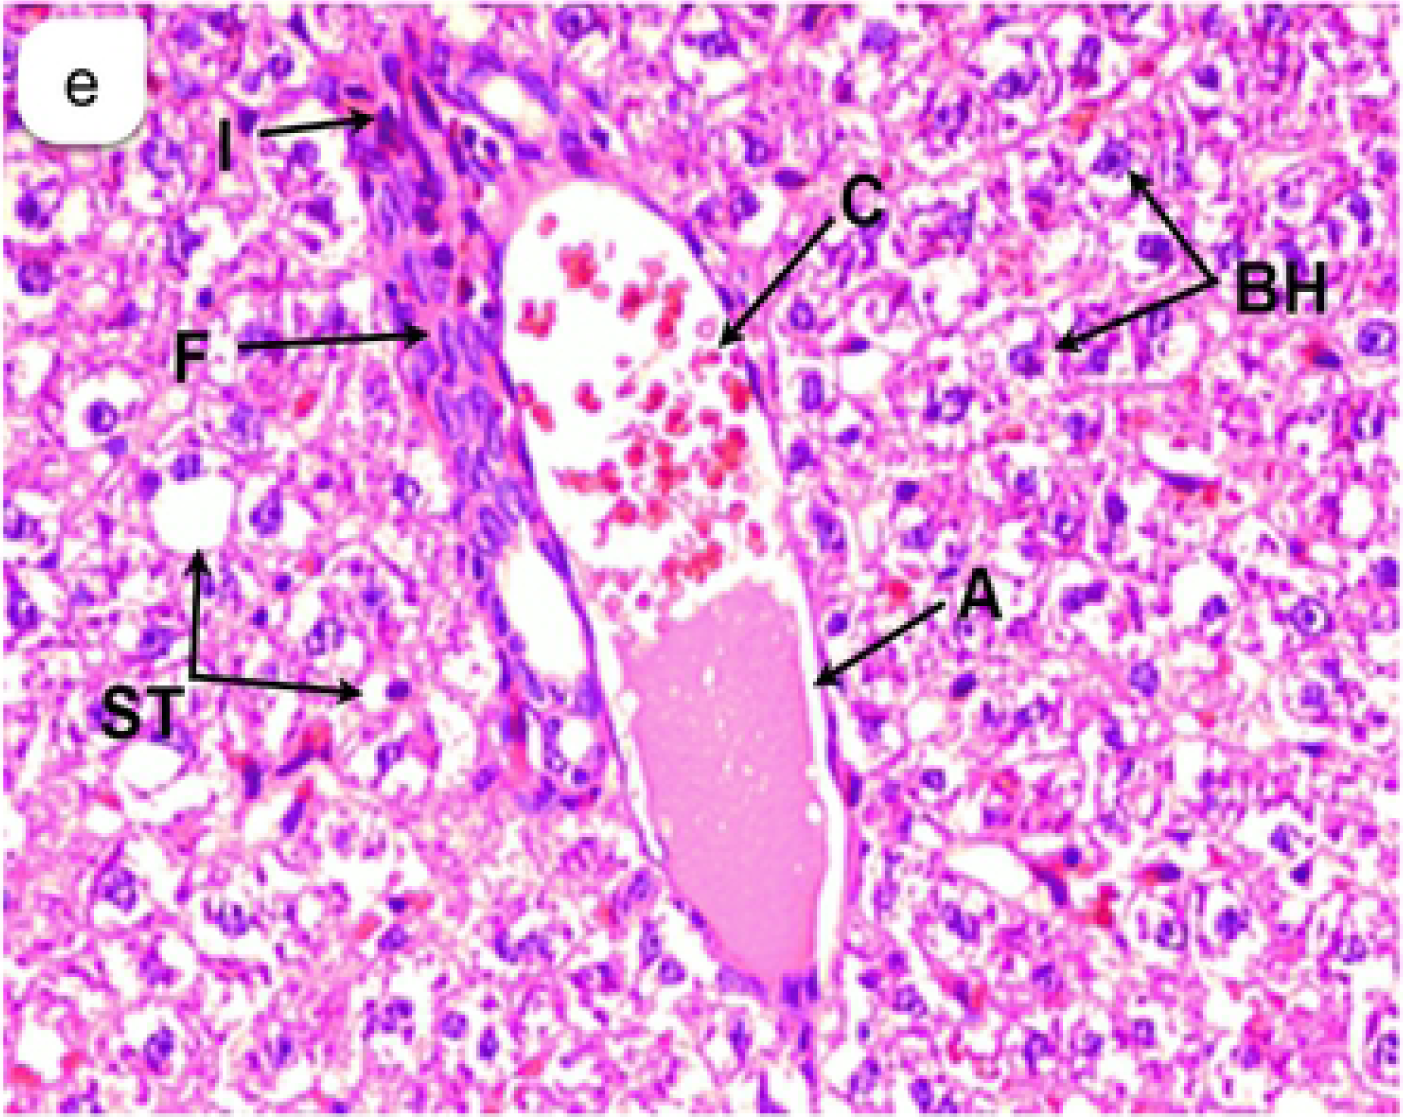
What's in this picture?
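Here we see liver at high power around an enlarged vessel. The vessel holds scattered red blood cells in its upper part and a mass of smooth, even pink material below. Alongside it runs a band of tissue with many elongated, dark purple nuclei, fibrous tissue with inflammatory cells. The surrounding hepatocytes look swollen and pale, their cytoplasm cleared and wispy rather than solid pink, so the tissue has a loose, frothy appearance. Here and there are round, empty clear spaces like fat droplets. Nuclei of the hepatocytes are still round and purple but lie in ragged, irregular cells.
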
